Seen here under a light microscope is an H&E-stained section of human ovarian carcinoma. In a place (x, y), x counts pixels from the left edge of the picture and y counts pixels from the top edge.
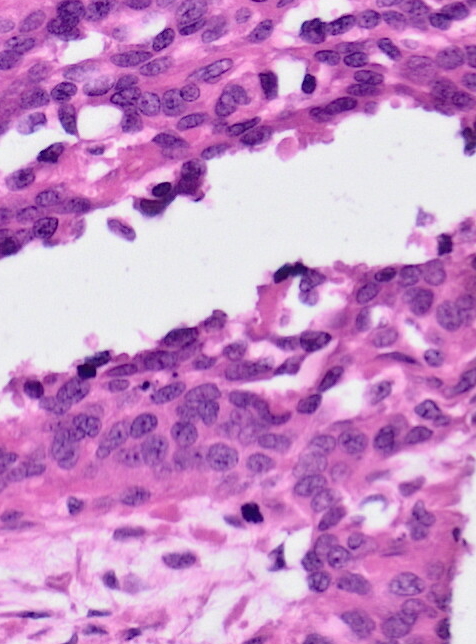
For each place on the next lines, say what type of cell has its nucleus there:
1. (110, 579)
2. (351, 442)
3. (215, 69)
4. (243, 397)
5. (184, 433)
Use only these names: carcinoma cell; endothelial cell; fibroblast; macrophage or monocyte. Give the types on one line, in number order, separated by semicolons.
fibroblast; carcinoma cell; endothelial cell; carcinoma cell; carcinoma cell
